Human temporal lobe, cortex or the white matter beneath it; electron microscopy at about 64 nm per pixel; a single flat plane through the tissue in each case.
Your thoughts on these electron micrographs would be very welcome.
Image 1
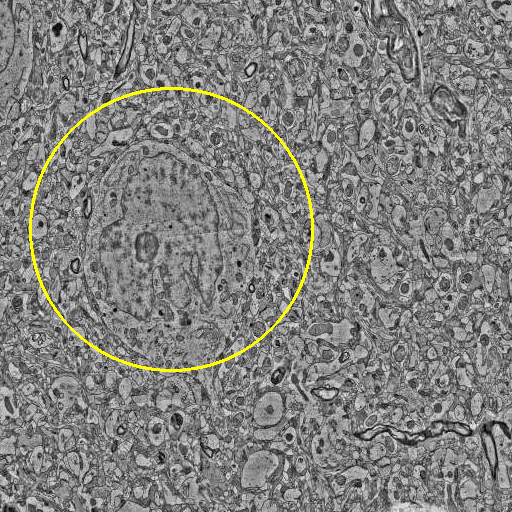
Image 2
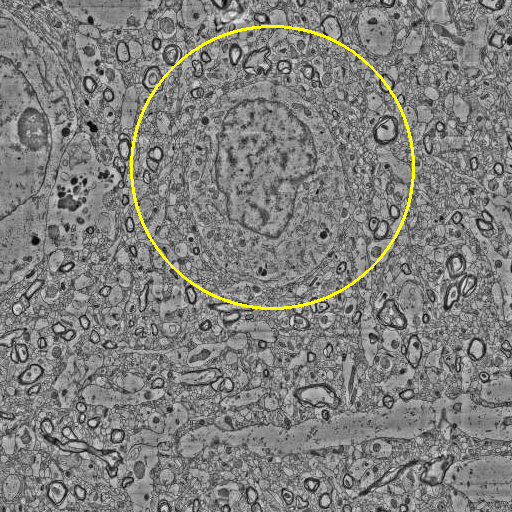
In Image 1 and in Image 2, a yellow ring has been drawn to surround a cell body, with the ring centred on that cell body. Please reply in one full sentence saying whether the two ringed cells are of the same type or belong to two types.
The ringed cells in Image 1 and Image 2 are of the same type.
